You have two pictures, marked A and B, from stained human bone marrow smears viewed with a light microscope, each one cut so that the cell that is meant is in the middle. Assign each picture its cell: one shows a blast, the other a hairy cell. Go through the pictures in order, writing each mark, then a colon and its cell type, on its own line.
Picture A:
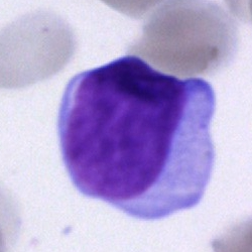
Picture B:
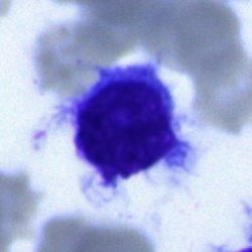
A: blast
B: hairy cell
